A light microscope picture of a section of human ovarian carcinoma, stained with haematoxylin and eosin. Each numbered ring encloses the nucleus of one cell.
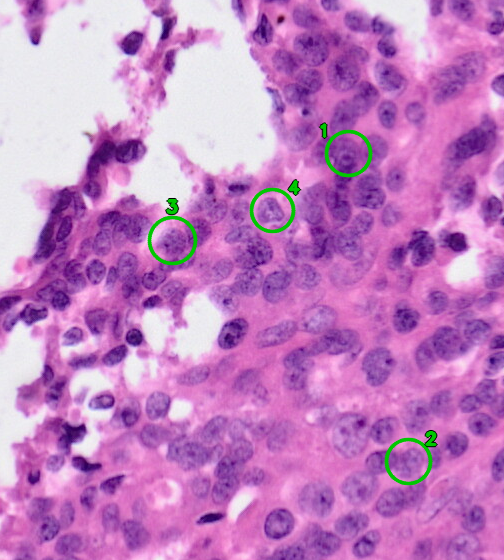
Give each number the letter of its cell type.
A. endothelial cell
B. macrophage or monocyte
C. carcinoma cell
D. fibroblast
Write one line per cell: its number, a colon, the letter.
1: C
2: C
3: C
4: B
